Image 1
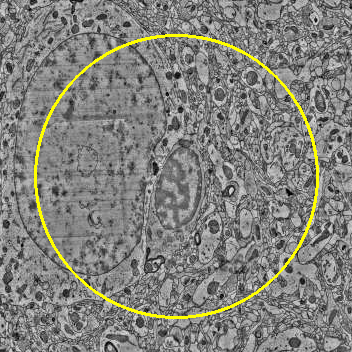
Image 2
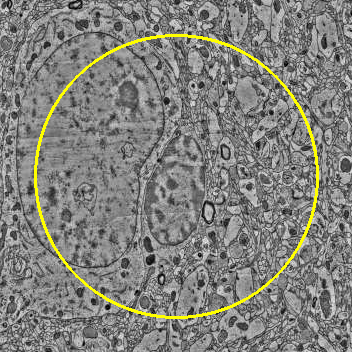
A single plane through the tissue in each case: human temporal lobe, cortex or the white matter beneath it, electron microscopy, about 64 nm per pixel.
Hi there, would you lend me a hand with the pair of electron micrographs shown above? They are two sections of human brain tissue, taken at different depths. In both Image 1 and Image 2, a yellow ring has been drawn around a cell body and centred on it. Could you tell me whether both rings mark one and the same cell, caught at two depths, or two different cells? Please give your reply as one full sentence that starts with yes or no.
Yes, each ring singles out the same cell.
